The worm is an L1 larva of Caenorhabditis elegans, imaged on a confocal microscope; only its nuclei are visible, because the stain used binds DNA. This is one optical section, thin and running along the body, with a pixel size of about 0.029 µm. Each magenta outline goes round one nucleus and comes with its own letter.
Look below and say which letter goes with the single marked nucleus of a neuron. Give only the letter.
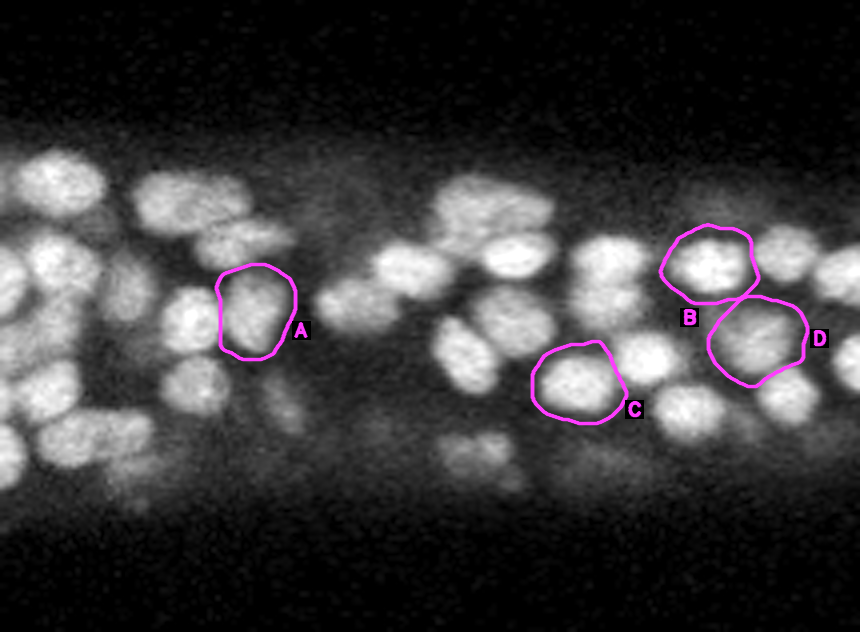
A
